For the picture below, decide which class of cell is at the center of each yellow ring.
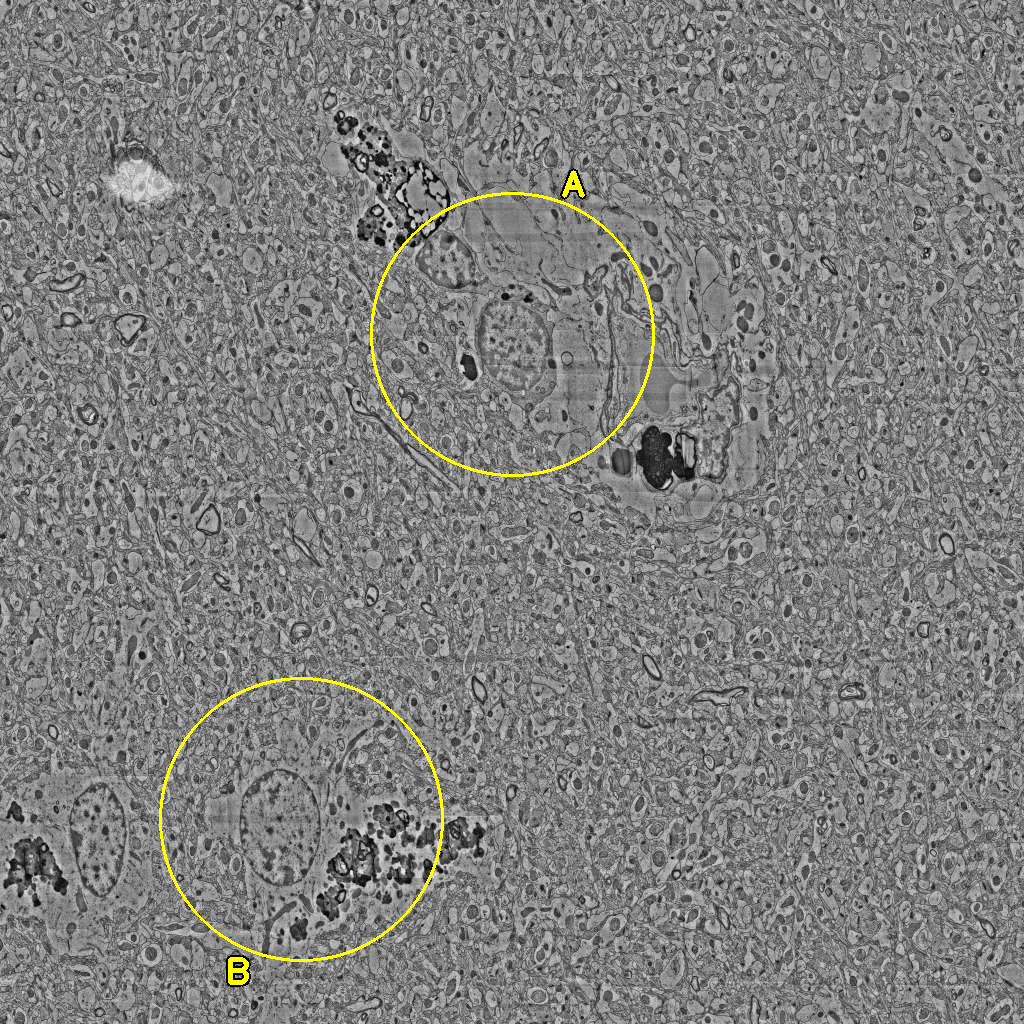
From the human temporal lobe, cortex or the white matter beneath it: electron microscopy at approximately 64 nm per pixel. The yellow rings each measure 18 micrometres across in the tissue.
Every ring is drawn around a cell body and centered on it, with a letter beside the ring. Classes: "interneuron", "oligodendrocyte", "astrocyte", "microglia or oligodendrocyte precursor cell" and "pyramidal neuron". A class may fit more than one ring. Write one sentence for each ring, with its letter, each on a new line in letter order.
Centered in ring A is an oligodendrocyte.
Centered in ring B is an astrocyte.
